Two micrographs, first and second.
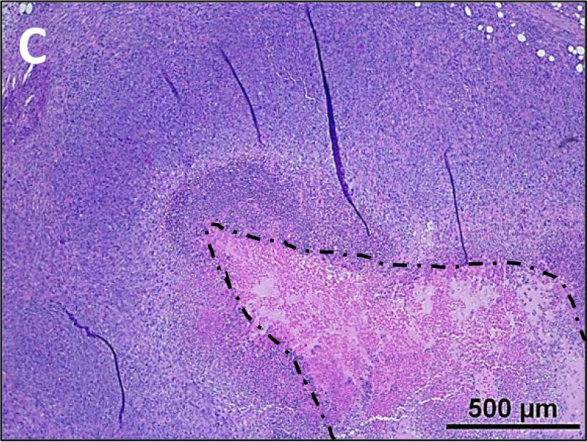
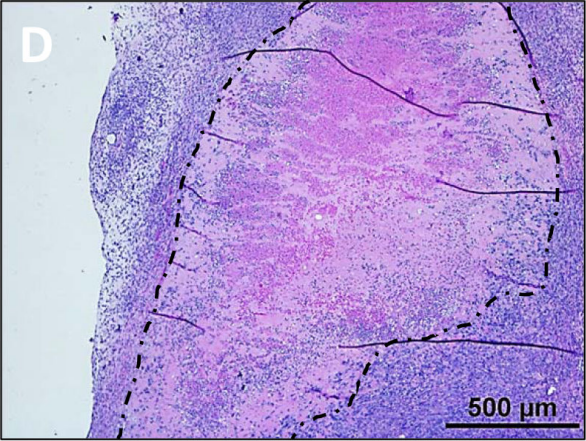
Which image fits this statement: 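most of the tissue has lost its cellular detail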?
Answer: The second image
